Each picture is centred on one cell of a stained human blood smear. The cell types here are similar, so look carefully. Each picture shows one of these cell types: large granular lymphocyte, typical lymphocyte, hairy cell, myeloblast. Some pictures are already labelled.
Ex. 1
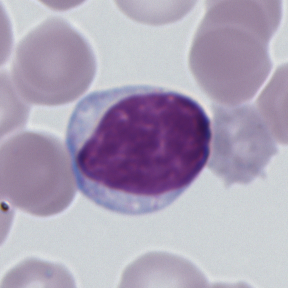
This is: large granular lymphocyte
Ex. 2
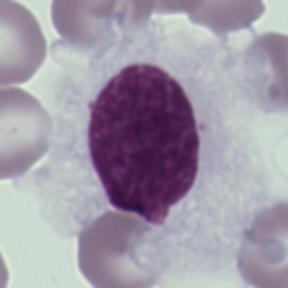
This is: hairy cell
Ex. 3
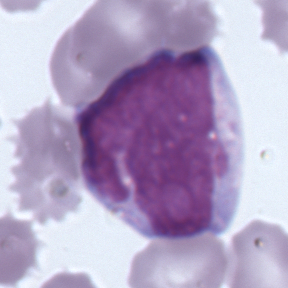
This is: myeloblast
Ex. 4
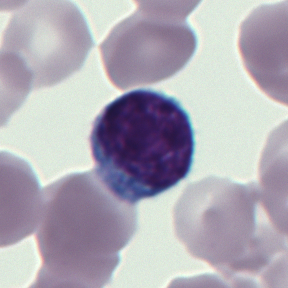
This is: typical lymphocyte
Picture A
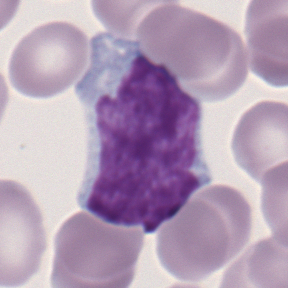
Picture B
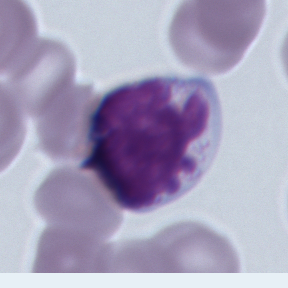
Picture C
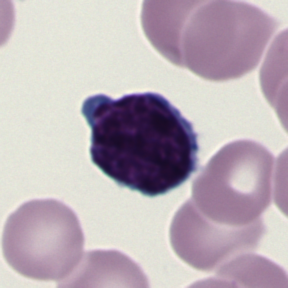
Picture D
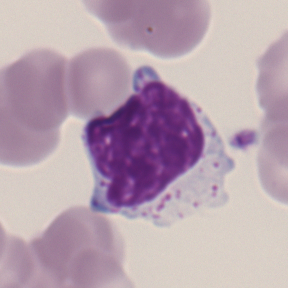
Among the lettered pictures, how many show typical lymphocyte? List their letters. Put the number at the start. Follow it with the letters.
2: A, C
